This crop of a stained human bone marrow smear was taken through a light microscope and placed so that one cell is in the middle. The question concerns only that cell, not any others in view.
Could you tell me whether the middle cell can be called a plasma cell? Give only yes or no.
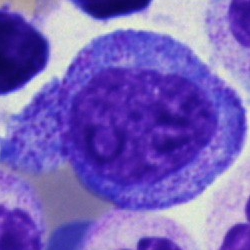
no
